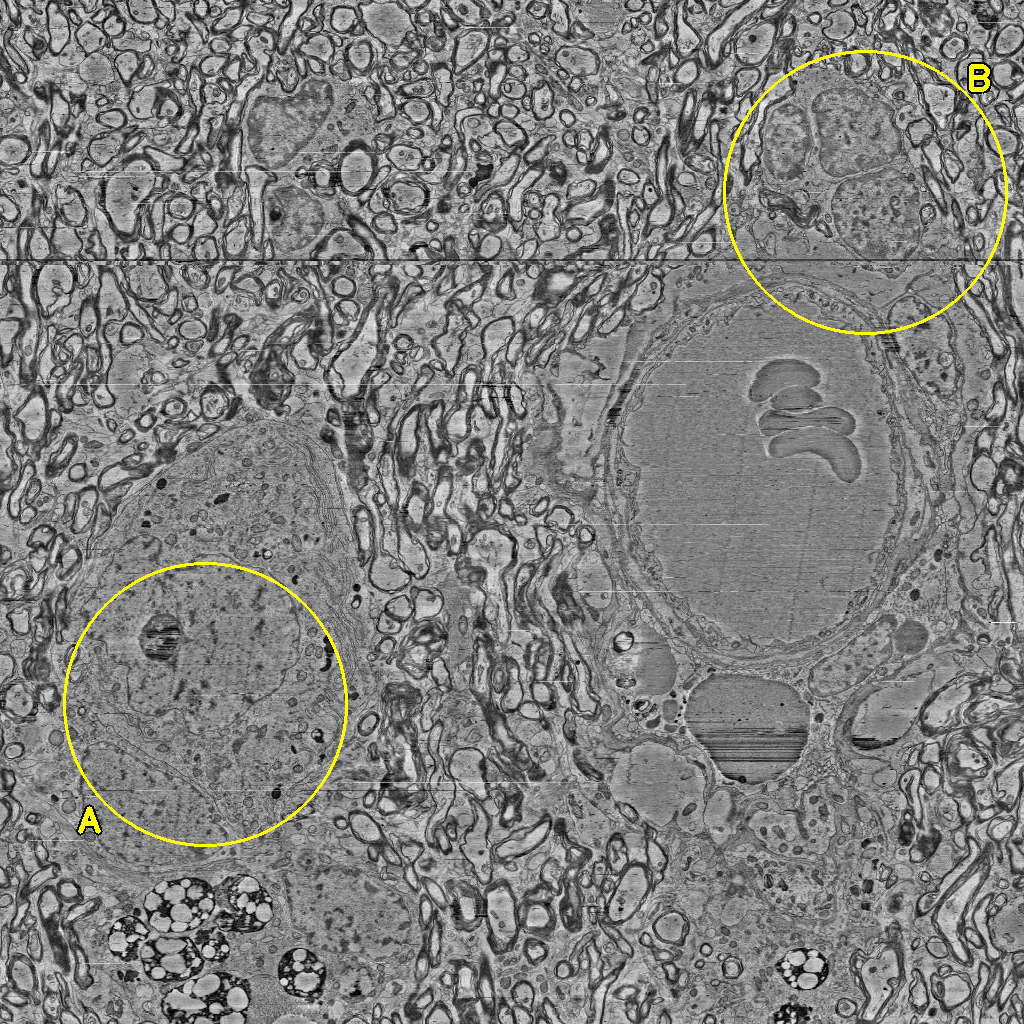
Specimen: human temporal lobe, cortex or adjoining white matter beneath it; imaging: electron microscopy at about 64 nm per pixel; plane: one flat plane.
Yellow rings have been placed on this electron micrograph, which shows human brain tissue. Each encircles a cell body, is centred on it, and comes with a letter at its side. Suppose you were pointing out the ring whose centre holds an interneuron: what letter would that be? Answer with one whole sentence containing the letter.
The ring I would point to, centred on the cell in question, is A.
